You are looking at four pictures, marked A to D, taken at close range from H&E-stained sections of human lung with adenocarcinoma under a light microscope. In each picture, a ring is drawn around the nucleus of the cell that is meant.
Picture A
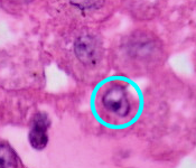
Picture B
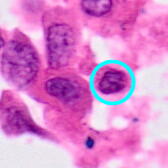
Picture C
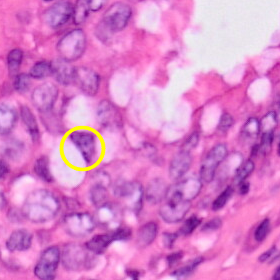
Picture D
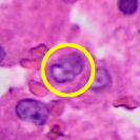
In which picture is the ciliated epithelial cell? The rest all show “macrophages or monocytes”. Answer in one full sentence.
Picture C is the one that shows the ciliated epithelial cell.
